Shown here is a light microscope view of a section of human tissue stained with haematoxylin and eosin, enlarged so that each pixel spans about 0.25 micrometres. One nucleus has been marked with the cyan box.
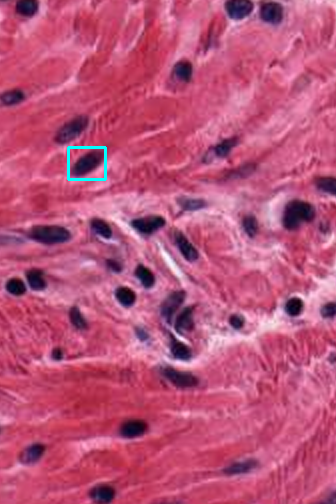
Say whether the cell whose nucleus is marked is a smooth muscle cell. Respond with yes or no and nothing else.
yes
